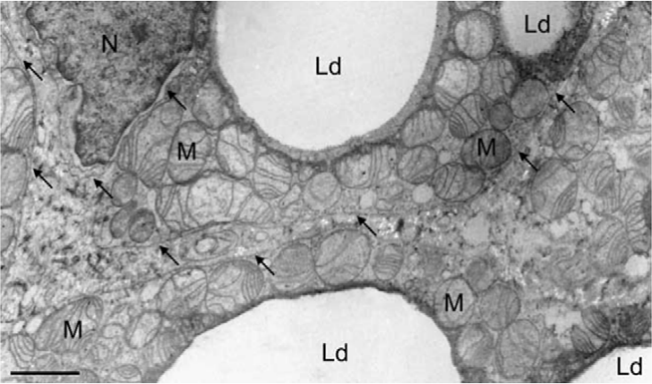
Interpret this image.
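This transmission electron micrograph shows the cytoplasm of brown adipose tissue cells, packed with lipid droplets and mitochondria. Several large, round, electron-lucent lipid droplets occupy much of the field, each bordered by a thin rim. The cytoplasm between and around the droplets is crowded with round to oval mitochondria that have numerous tightly packed, parallel cristae. A nucleus with finely granular chromatin lies at the upper left, its outline partly in view.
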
